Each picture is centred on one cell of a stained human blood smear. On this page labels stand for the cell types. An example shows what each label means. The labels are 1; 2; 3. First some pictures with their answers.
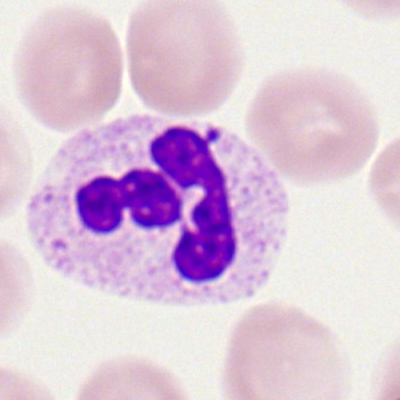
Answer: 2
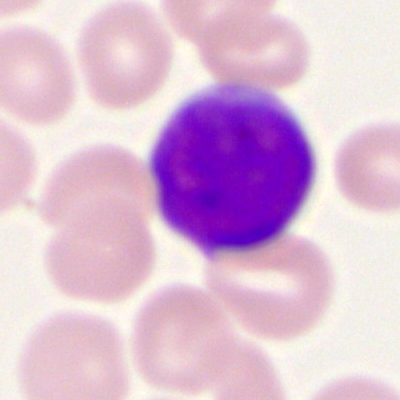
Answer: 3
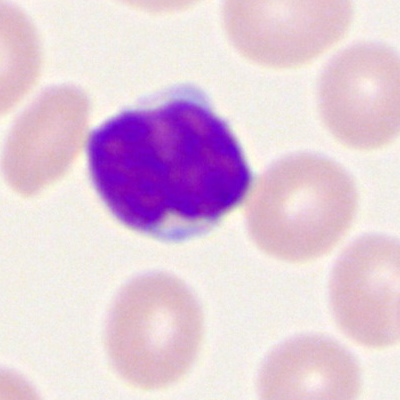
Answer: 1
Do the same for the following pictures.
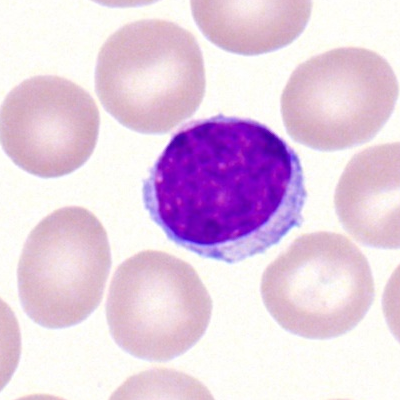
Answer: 1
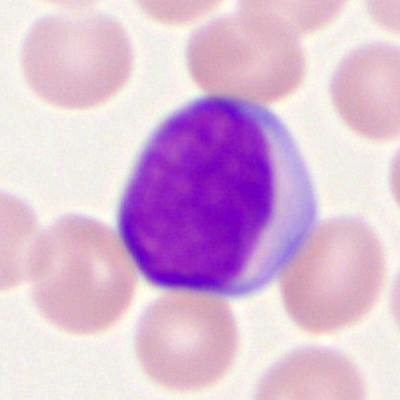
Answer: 3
